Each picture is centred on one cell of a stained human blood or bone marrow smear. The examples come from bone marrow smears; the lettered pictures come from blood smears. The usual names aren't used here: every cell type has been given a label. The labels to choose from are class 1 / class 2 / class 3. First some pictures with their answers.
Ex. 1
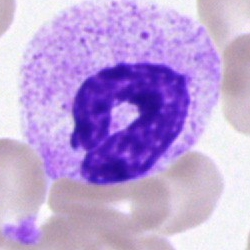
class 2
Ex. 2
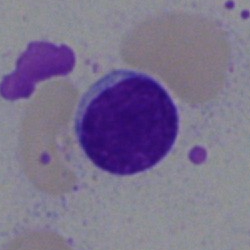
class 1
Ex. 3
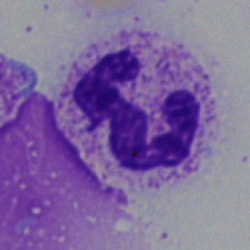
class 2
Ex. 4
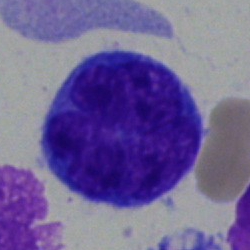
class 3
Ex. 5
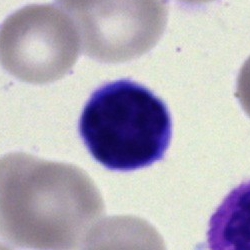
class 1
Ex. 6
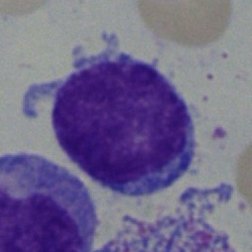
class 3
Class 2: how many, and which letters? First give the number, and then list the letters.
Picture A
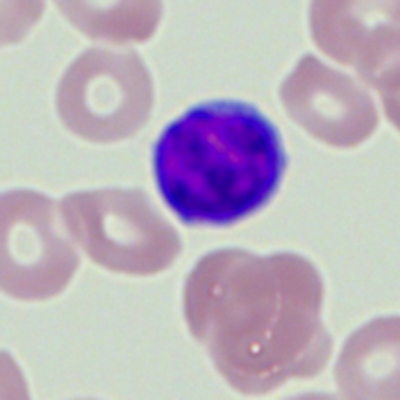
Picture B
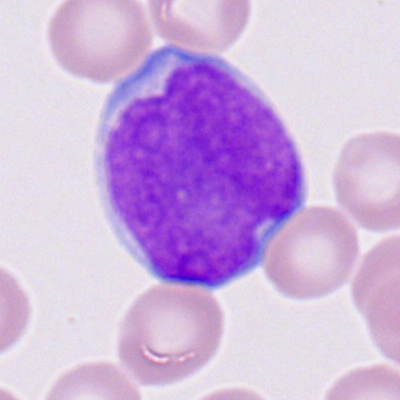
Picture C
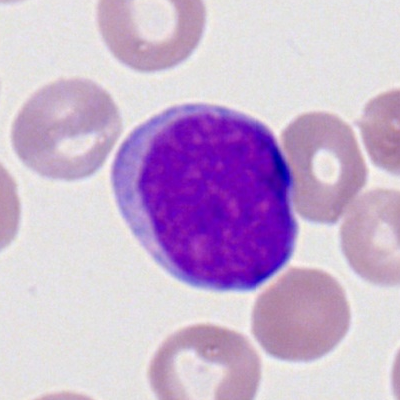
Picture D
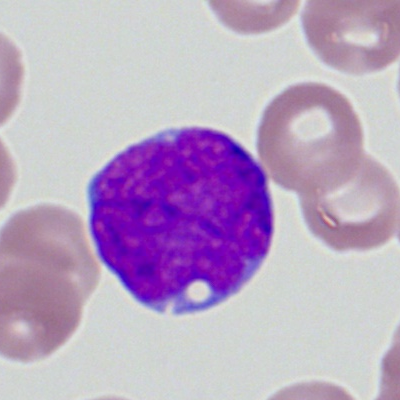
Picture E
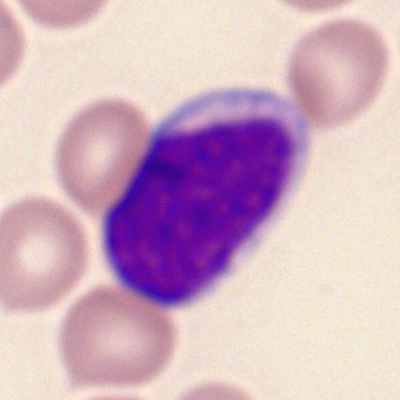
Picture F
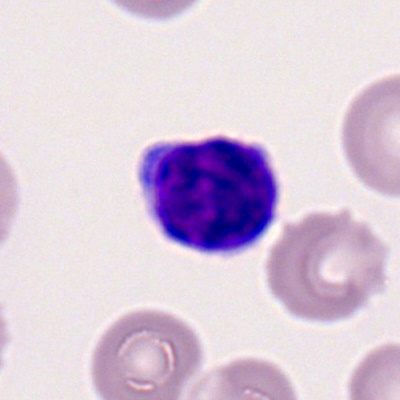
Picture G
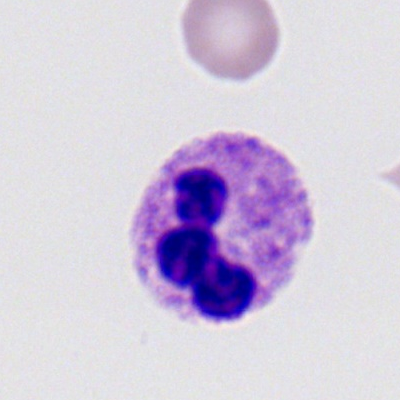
1, namely G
